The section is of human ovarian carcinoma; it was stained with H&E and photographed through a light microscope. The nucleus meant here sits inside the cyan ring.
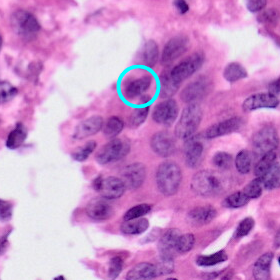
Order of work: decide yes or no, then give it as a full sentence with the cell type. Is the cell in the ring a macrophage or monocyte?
Yes, the cell in the ring counts as a macrophage or monocyte in this tissue.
